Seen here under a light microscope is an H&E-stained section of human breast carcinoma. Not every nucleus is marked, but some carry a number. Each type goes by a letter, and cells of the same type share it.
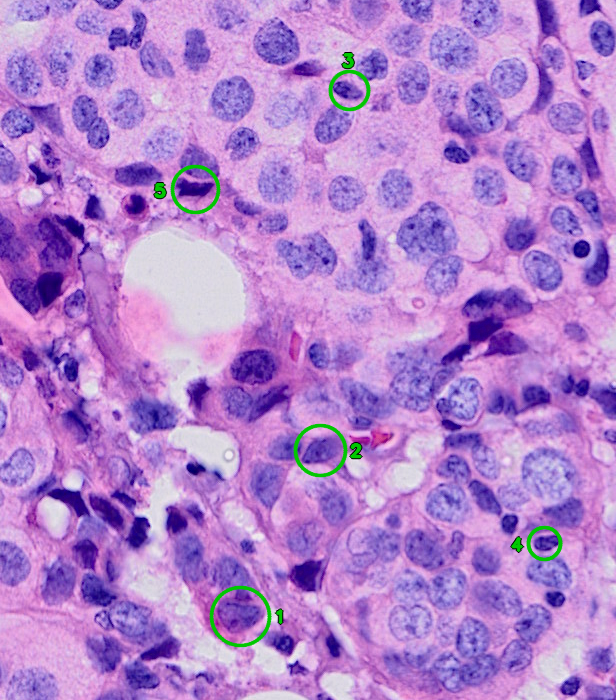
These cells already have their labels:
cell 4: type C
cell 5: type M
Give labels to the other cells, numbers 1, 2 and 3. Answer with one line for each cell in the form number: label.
1: type M
2: type M
3: type C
